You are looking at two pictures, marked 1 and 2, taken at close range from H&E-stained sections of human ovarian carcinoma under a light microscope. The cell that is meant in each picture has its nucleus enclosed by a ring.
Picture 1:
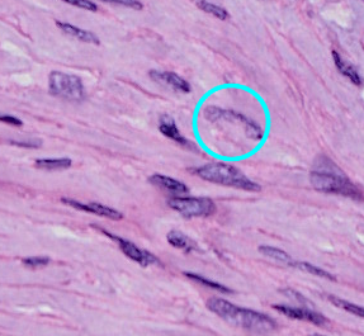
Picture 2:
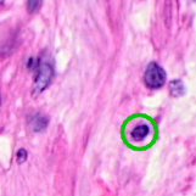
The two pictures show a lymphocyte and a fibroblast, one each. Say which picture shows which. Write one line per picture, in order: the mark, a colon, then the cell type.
1: fibroblast
2: lymphocyte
